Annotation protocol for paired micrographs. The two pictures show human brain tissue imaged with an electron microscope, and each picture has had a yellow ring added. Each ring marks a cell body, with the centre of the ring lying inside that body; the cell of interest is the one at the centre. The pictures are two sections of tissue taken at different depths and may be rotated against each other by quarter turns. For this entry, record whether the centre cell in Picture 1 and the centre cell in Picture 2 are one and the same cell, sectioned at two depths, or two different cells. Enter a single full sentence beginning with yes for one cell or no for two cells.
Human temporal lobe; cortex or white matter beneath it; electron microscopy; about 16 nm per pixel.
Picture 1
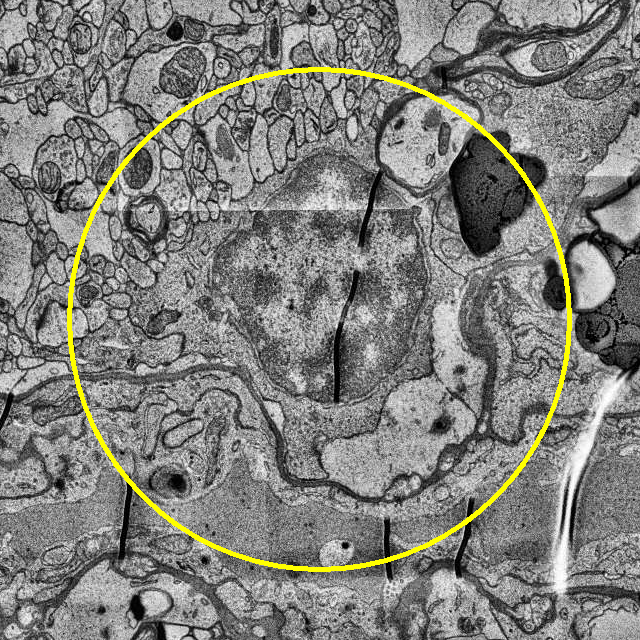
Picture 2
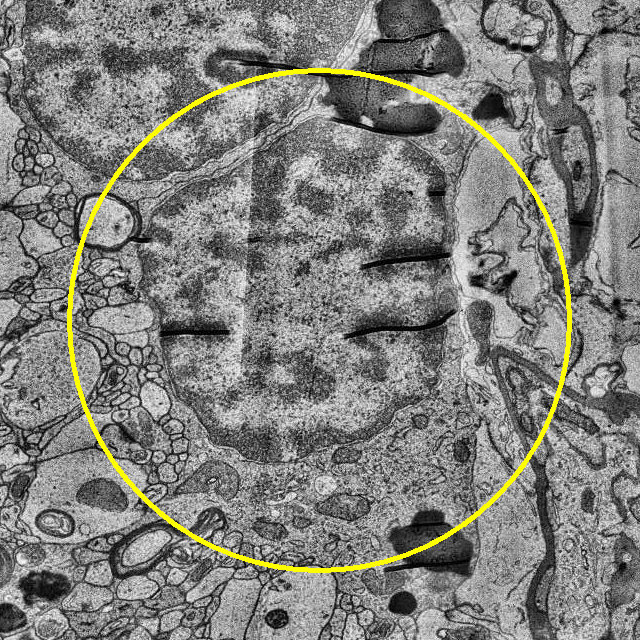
Yes, the same cell appears within both yellow rings.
